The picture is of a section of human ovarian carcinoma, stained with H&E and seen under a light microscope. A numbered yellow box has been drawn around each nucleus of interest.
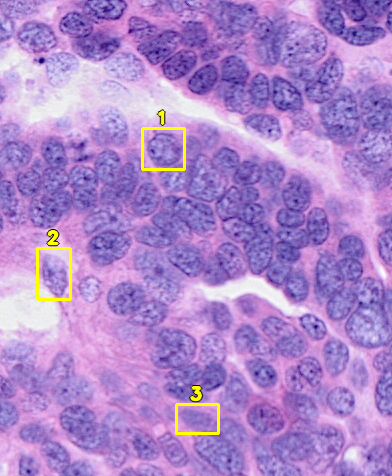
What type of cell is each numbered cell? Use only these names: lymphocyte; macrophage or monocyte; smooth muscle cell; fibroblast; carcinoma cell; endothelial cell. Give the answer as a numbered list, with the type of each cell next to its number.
1. carcinoma cell
2. fibroblast
3. carcinoma cell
